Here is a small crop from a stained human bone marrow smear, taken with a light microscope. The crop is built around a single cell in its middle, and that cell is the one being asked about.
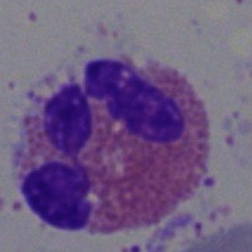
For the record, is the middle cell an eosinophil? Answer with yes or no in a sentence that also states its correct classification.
Yes, the cell here in the middle is an eosinophil.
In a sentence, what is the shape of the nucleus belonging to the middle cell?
Two or more lobes make up the nucleus of this cell.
